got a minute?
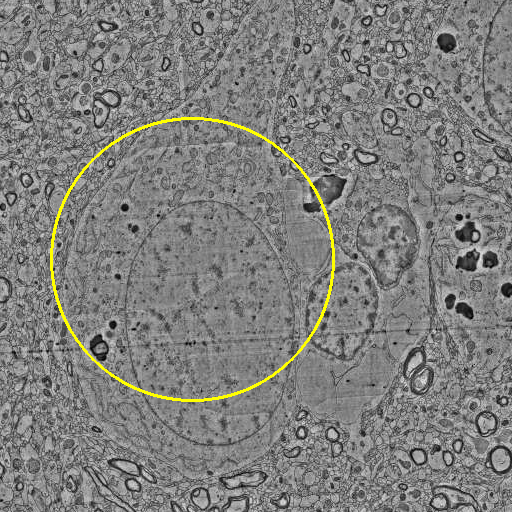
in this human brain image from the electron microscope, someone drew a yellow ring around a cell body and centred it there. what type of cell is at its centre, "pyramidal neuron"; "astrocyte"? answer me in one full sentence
It's a pyramidal neuron at the middle of that yellow ring in the shot.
